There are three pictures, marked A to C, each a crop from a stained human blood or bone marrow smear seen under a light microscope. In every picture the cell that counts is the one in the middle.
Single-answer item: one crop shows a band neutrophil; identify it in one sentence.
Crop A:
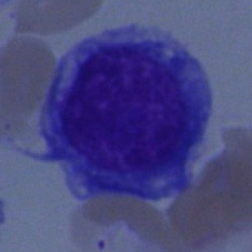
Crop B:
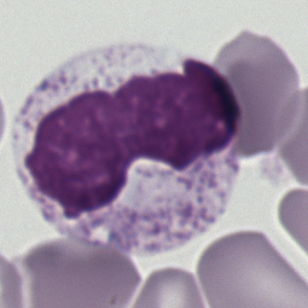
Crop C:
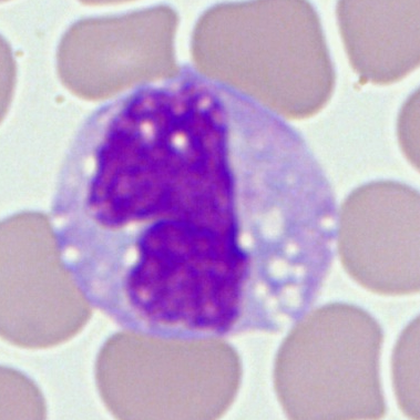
Of the labelled crops, the one that shows a band neutrophil is crop B.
